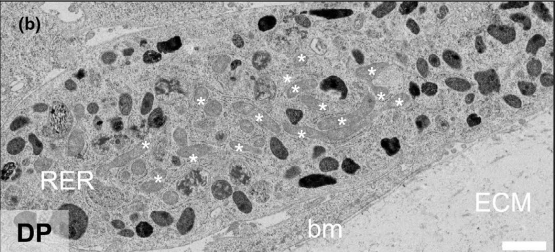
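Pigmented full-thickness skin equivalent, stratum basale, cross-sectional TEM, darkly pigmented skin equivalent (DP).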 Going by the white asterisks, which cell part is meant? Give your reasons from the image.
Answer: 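Mitochondria. Oval grey organelles with inner cristae are marked by the asterisks. They cluster in the middle of the cell among dark granules.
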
